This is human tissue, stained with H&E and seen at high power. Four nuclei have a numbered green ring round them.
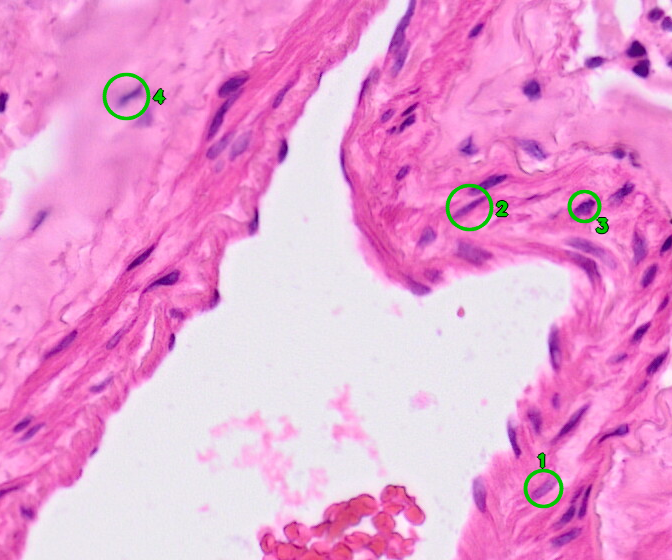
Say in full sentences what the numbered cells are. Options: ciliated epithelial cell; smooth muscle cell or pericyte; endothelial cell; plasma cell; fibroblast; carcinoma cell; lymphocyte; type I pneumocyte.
Cell 1 is a smooth muscle cell or pericyte, cell 2 is a smooth muscle cell or pericyte, cell 3 is a smooth muscle cell or pericyte and cell 4 is a fibroblast.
